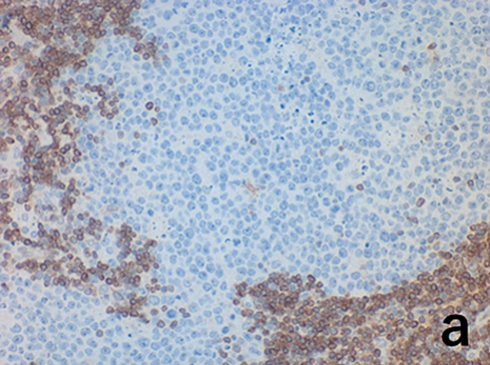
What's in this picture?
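This is a lymphoid nodule of medium-sized, unstained cells with blue-counterstained round nuclei, bordered by a band of small, densely packed lymphocytes stained brown. The brown cells lie at the upper left and lower right margins, forming a mantle-like rim around the pale nodule. A few scattered brown cells lie at the edge of the nodule, while the central cells remain unstained.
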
